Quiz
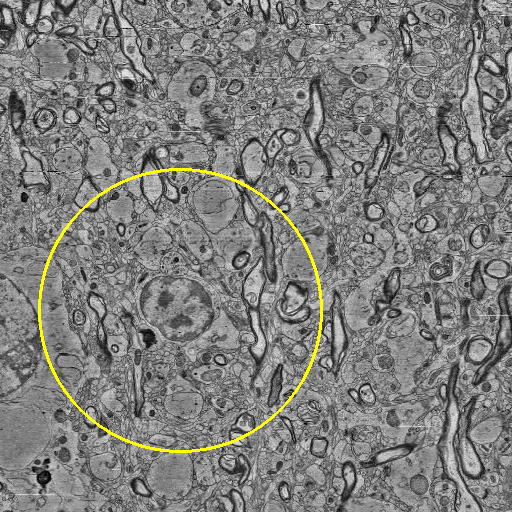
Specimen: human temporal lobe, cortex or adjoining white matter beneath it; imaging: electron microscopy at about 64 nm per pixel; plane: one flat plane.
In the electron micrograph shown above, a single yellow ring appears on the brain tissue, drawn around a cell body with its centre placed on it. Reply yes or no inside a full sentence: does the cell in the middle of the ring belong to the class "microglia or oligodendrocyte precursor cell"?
Yes, the cell at the centre of the ring in the picture belongs to that class.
